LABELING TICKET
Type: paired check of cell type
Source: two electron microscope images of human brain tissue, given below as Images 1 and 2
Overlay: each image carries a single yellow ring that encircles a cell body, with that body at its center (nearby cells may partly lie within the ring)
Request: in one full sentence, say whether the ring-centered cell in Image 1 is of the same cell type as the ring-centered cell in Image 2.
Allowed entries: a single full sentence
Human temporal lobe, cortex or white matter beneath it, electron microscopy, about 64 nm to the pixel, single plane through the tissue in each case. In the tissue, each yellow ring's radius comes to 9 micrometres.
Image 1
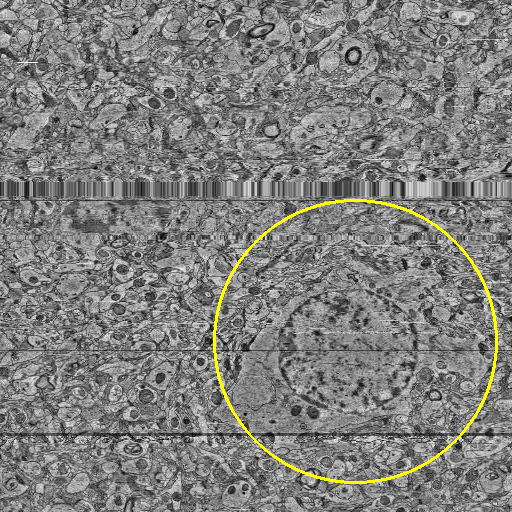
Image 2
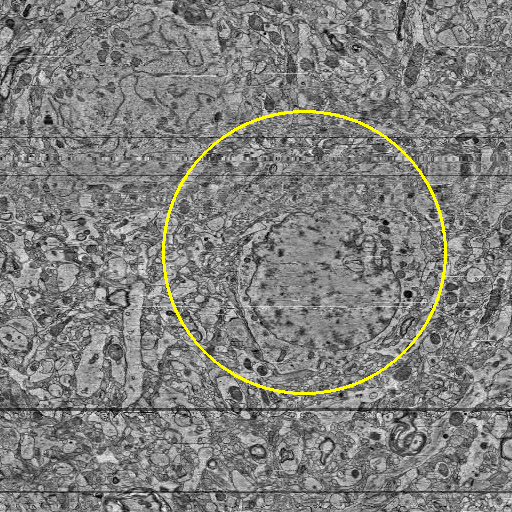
No, the cells centered in the rings of Image 1 and Image 2 are of two types.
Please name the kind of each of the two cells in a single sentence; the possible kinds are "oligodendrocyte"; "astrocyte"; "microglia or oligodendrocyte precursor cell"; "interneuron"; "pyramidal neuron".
In the first picture the ring is centred on an astrocyte, and in the second on an interneuron.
